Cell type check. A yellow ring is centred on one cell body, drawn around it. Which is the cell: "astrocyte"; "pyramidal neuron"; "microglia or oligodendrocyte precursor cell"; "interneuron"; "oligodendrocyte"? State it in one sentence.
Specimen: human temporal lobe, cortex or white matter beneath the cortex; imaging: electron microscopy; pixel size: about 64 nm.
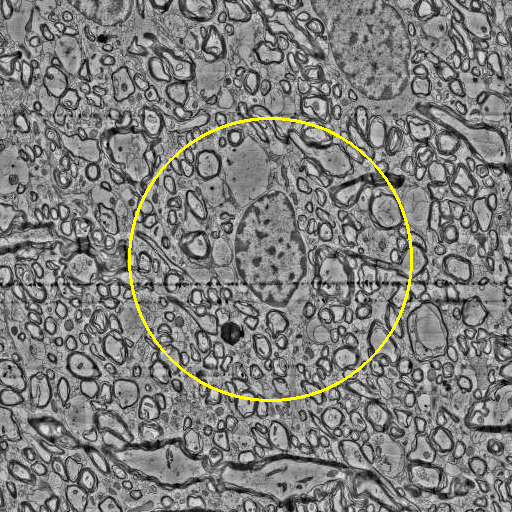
The cell body at the ring's centre belongs to a microglial cell or oligodendrocyte precursor cell.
